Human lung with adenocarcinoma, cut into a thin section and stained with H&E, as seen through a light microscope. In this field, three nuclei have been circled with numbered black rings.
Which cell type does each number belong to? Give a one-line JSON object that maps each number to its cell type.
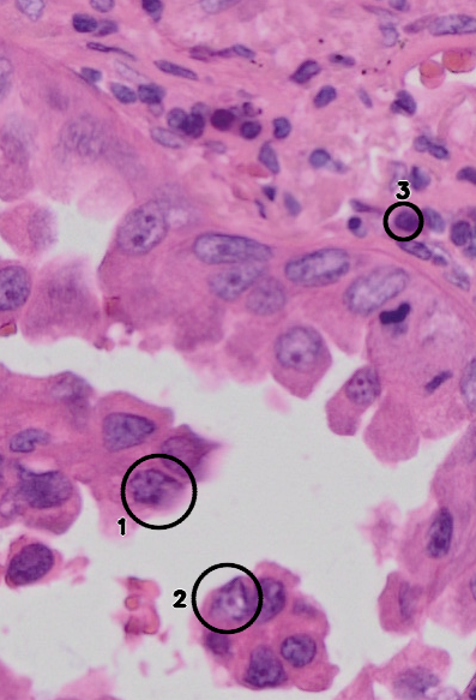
{"1": "carcinoma cell", "2": "carcinoma cell", "3": "plasma cell"}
